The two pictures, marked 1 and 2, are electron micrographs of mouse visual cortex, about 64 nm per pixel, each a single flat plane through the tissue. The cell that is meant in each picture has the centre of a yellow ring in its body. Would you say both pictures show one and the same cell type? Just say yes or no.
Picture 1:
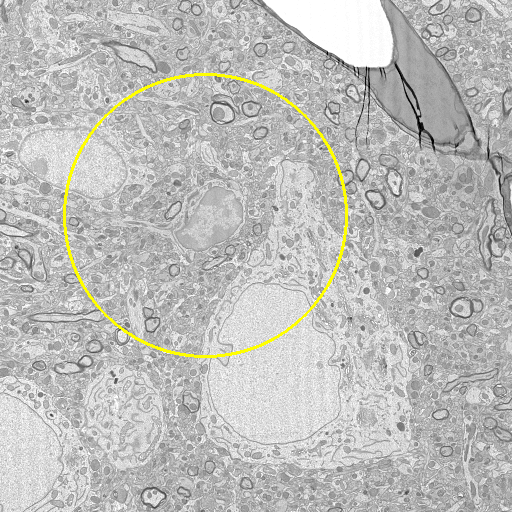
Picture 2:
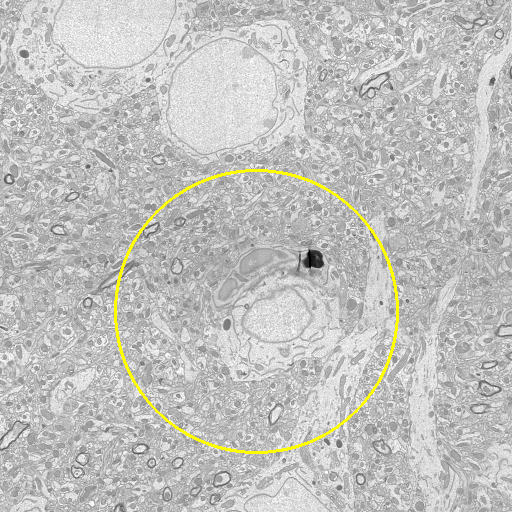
yes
